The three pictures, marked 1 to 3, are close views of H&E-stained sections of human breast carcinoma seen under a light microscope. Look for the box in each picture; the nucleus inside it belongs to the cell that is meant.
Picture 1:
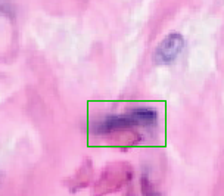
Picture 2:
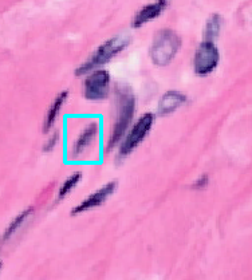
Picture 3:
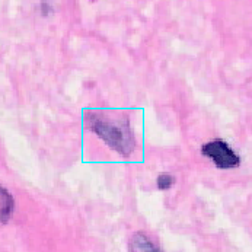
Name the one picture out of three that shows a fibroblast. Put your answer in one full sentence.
Picture 3 shows the fibroblast.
